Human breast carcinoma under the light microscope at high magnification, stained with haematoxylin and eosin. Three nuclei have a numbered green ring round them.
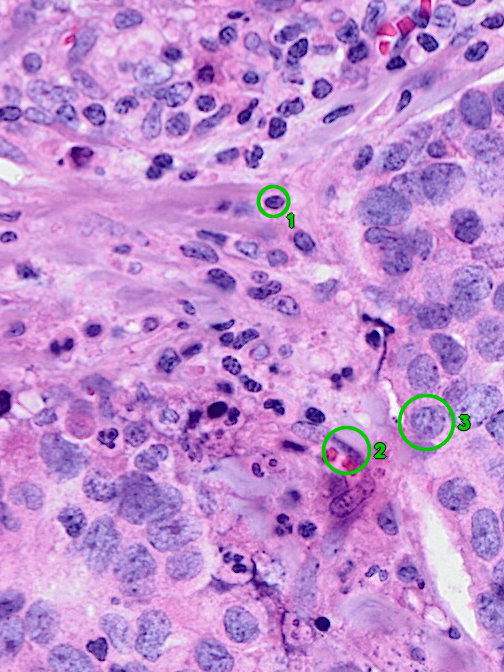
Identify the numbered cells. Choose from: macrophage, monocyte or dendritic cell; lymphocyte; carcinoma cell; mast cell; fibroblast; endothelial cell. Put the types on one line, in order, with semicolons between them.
lymphocyte; endothelial cell; carcinoma cell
